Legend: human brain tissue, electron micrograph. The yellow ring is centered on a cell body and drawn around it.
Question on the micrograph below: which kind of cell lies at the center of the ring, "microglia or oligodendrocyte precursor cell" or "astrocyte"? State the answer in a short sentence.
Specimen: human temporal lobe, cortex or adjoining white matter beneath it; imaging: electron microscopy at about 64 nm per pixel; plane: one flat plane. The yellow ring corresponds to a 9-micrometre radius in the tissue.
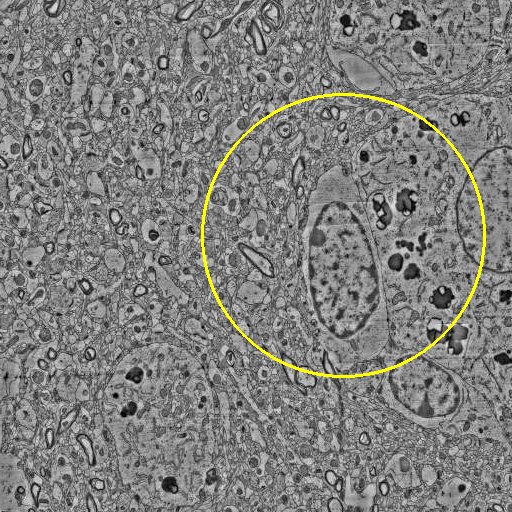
At the center of the ring lies a microglial cell or oligodendrocyte precursor cell.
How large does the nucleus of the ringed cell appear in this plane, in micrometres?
The nucleus is approximately 9 micrometres long but only about 4 wide, clearly longer than it is wide in this plane.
